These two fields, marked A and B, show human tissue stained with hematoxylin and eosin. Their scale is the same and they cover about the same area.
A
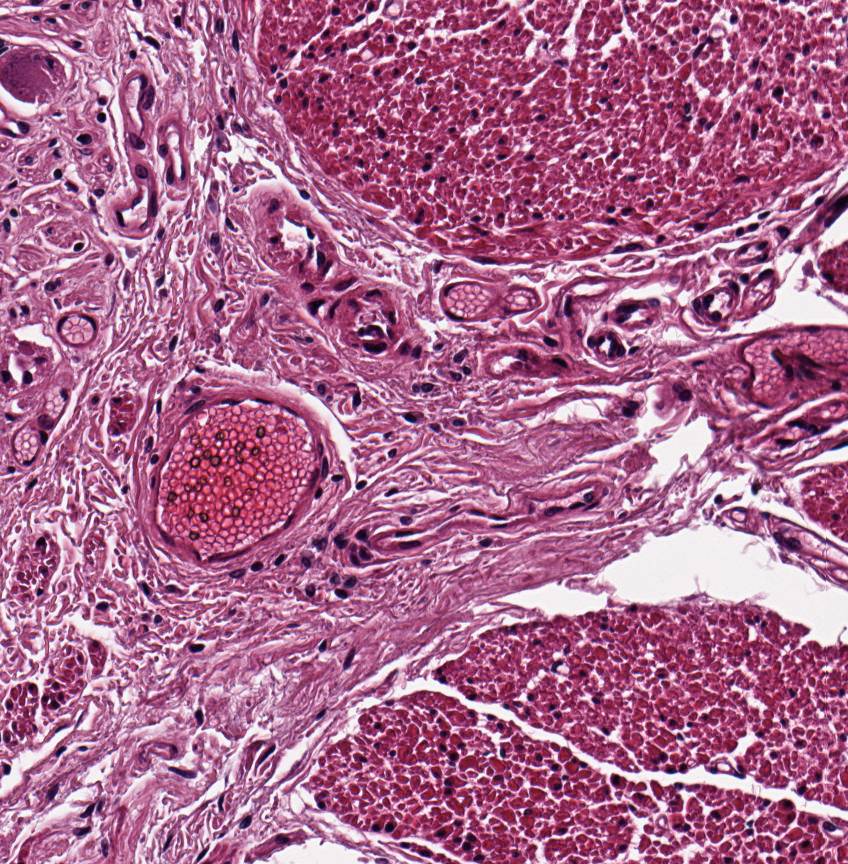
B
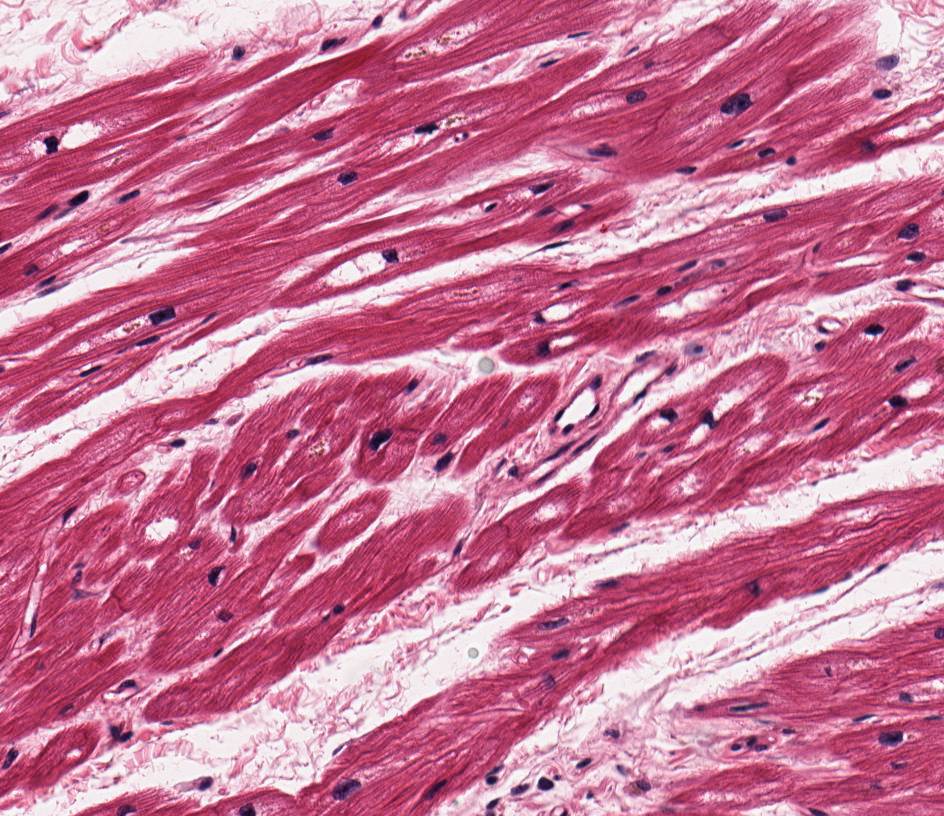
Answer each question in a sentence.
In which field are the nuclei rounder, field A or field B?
On the whole the nuclei of field A are rounder than those of field B.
